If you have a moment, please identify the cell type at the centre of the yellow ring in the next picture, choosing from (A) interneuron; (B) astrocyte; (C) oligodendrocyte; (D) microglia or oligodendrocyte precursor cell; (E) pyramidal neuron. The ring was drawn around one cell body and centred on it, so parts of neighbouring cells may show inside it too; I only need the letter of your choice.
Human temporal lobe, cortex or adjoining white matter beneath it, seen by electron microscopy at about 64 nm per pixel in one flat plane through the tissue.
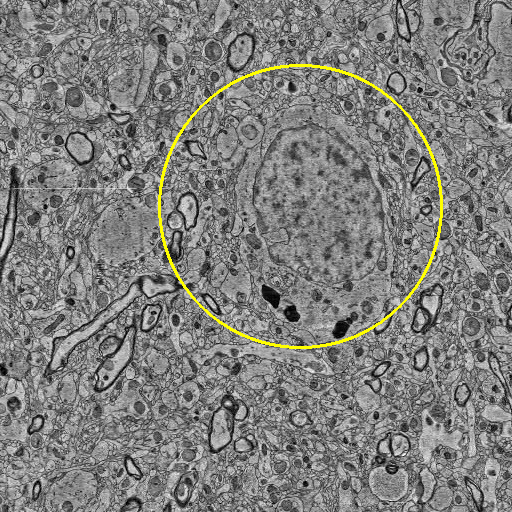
A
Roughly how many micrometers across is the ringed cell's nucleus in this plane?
The ringed cell's nucleus measures approximately 11 by 8 micrometres in this plane.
